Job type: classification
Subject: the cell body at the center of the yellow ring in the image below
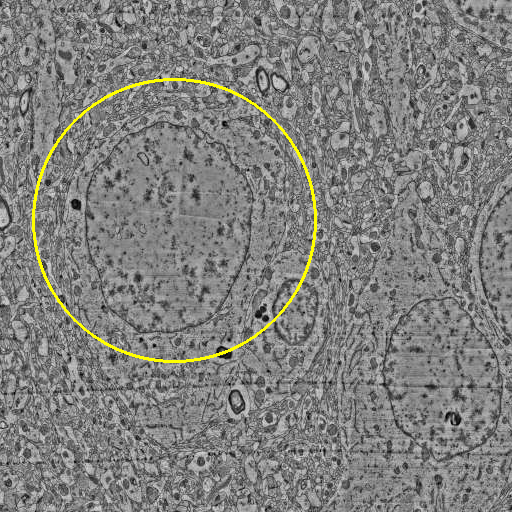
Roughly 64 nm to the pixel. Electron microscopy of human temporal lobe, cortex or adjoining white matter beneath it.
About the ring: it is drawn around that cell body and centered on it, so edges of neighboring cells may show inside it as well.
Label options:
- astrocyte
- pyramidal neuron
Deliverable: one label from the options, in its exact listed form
pyramidal neuron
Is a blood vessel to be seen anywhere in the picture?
No, no blood vessel shows in the picture.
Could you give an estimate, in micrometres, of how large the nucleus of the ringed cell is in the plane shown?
About 13 by 11 micrometres in this plane.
